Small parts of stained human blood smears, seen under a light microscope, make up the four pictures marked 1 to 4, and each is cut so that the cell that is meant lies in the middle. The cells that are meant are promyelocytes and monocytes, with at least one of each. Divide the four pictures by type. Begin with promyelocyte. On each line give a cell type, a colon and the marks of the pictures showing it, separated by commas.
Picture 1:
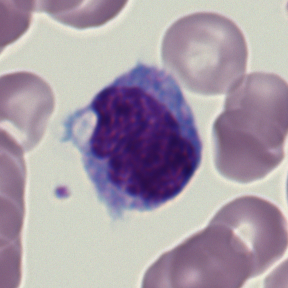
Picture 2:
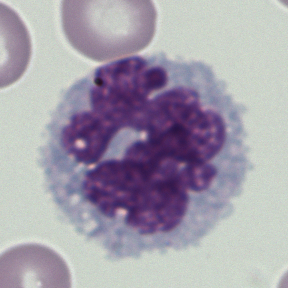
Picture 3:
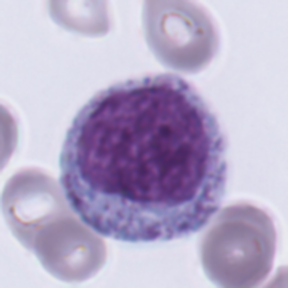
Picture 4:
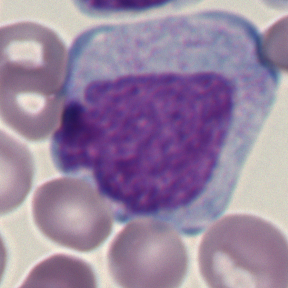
promyelocyte: 3, 4
monocyte: 1, 2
